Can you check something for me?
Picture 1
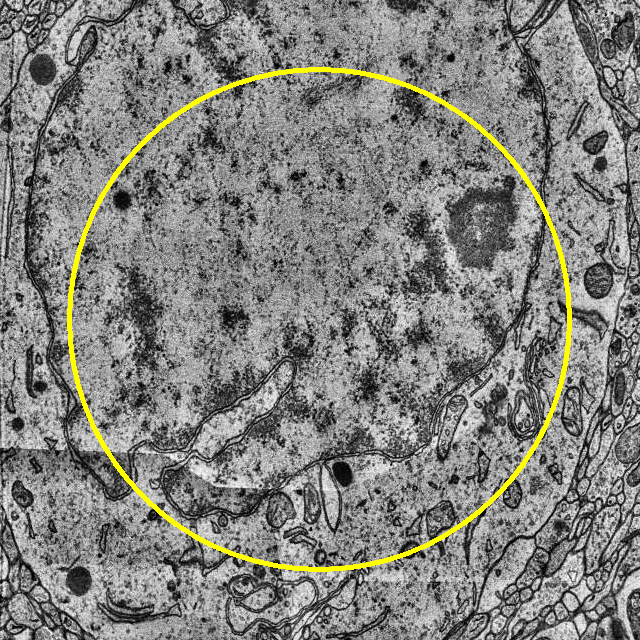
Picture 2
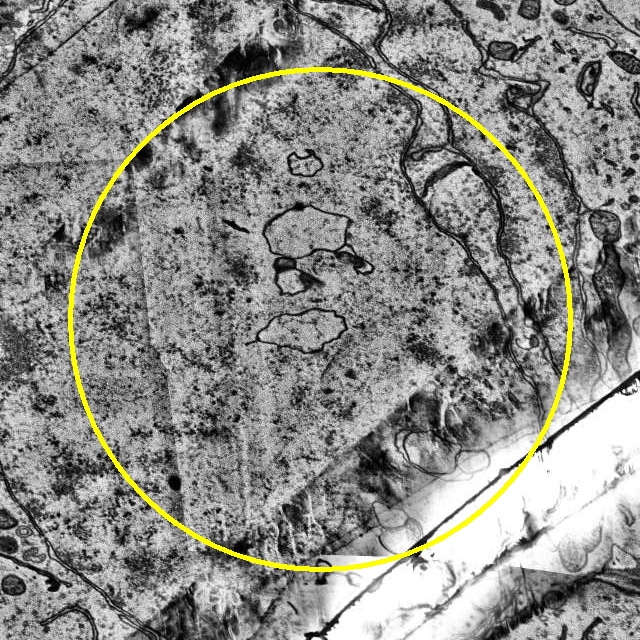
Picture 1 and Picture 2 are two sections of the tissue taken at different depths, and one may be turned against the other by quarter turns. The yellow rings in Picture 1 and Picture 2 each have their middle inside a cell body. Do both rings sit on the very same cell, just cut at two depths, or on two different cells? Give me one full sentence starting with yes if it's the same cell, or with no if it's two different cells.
No, within the two rings lie two different cells.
